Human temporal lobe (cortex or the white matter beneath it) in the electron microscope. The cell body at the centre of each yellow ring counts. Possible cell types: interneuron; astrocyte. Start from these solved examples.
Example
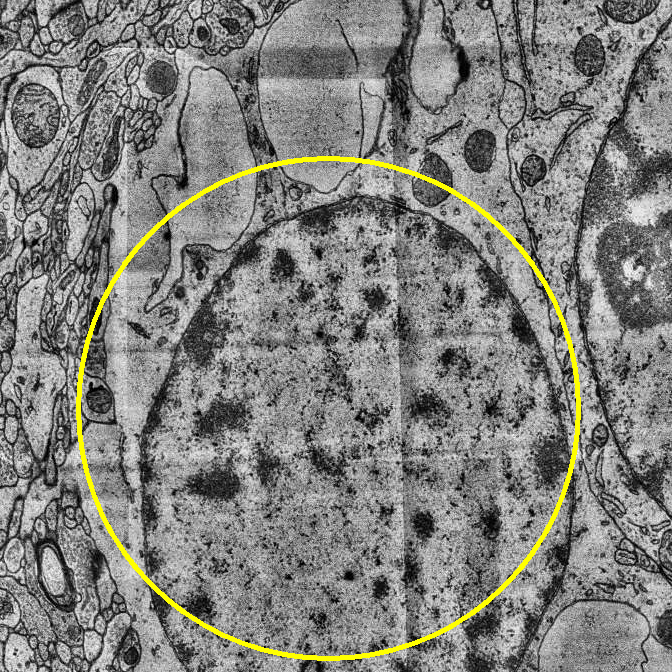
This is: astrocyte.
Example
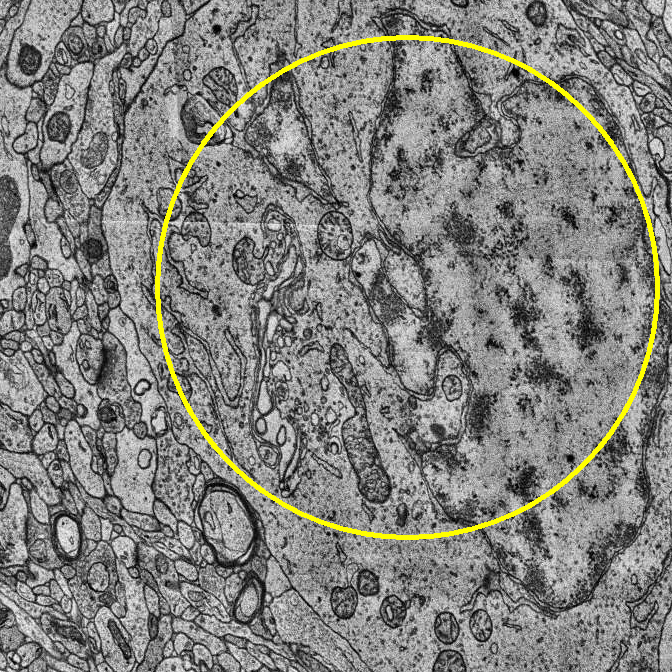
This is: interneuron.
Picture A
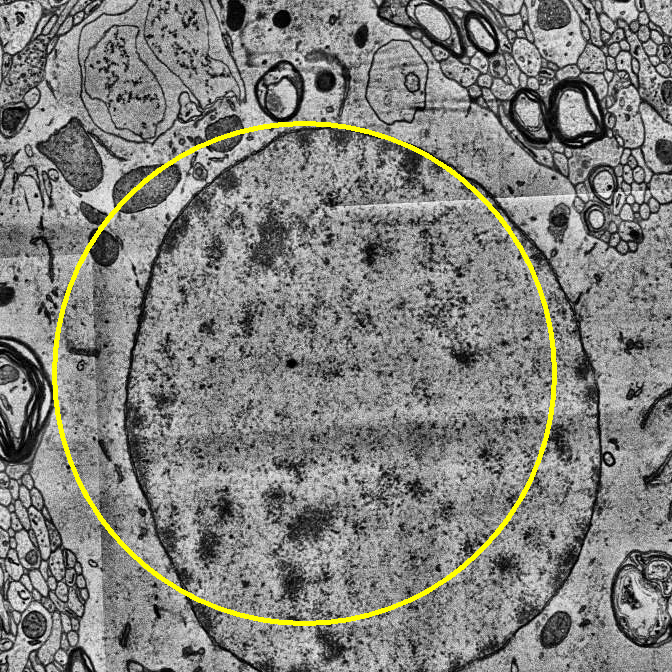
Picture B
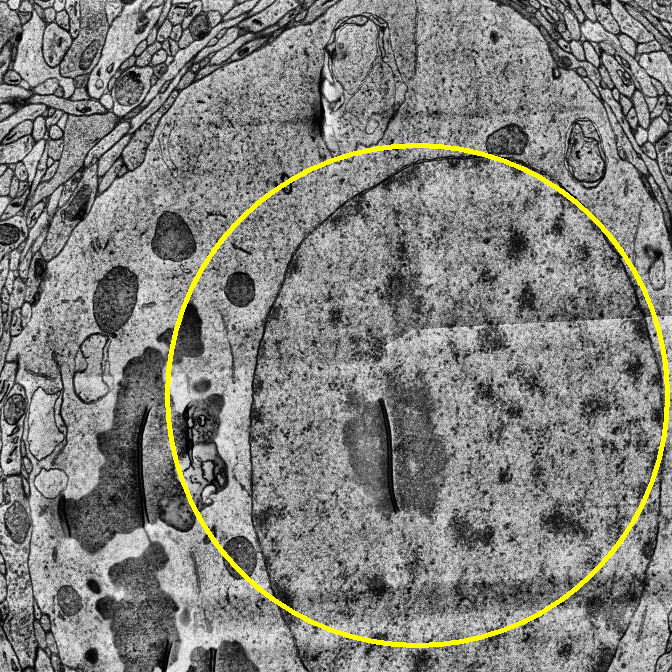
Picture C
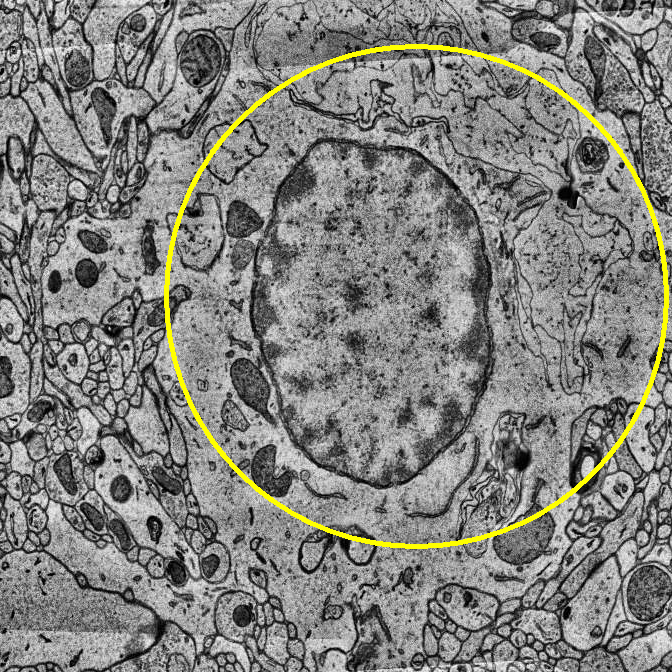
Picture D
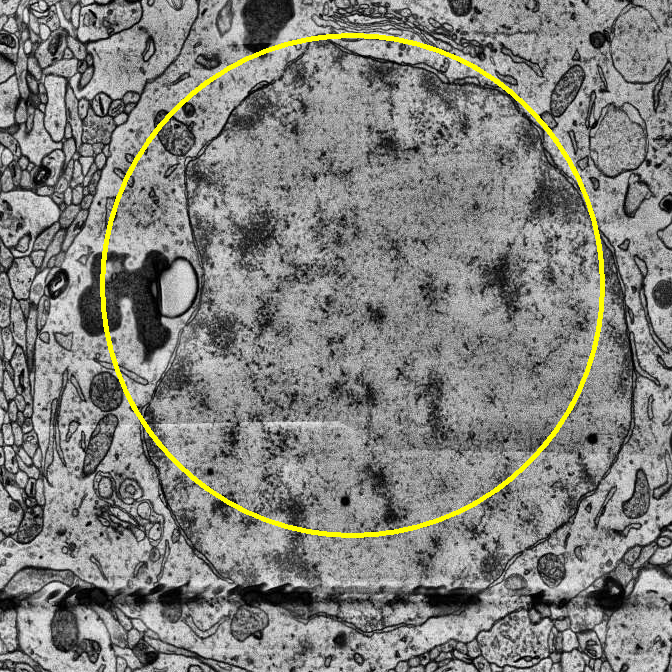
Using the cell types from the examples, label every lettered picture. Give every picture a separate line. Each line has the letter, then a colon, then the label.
A: astrocyte.
B: astrocyte.
C: astrocyte.
D: interneuron.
